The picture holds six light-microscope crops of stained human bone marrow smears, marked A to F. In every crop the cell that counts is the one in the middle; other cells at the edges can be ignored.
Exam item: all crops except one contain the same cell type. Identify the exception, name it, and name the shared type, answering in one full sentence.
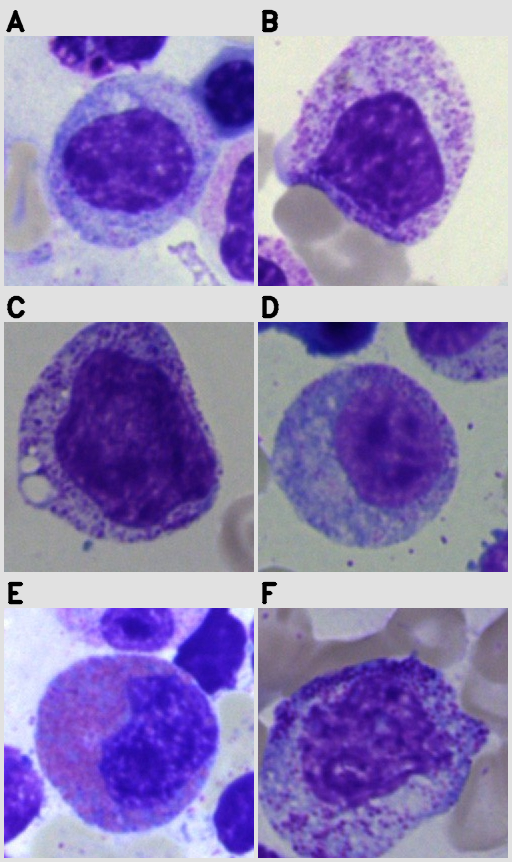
The outlier here is crop E, which is an eosinophil, while the remainder show myelocytes.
